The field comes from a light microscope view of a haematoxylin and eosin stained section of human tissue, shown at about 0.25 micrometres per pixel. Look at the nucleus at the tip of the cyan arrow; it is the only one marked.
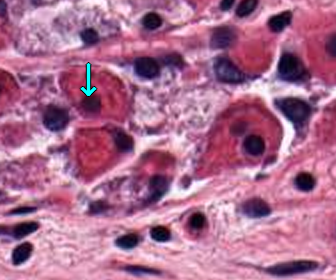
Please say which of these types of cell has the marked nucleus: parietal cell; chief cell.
parietal cell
